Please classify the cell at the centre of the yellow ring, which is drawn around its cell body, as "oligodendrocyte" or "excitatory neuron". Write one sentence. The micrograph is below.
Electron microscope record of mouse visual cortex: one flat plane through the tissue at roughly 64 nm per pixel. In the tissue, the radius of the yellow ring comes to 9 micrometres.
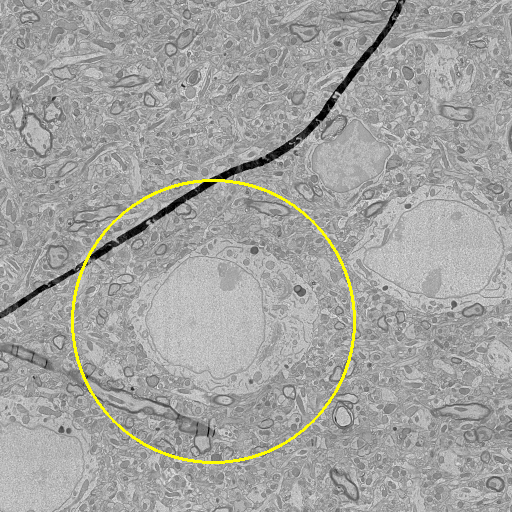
The cell at the ring's centre is classified as an excitatory neuron.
